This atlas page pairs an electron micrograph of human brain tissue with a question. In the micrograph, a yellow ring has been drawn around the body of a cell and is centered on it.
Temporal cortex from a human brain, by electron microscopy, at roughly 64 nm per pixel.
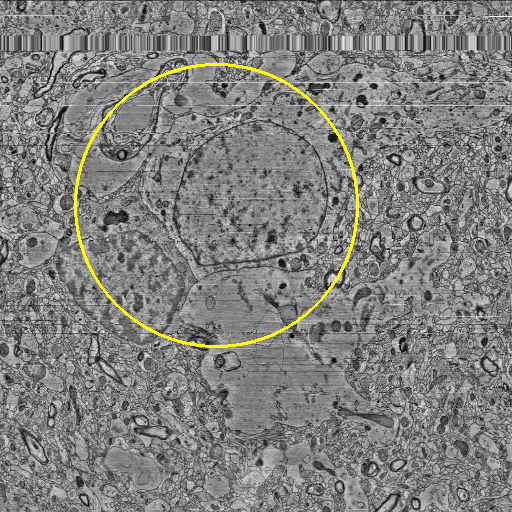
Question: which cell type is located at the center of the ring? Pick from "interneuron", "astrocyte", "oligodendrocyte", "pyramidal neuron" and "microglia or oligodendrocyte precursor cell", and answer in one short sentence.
Located at the center of the ring is a pyramidal neuron.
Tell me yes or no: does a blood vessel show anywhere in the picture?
Yes, there is a blood vessel.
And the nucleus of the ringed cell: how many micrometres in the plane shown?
In this plane, roughly 10 micrometres across.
